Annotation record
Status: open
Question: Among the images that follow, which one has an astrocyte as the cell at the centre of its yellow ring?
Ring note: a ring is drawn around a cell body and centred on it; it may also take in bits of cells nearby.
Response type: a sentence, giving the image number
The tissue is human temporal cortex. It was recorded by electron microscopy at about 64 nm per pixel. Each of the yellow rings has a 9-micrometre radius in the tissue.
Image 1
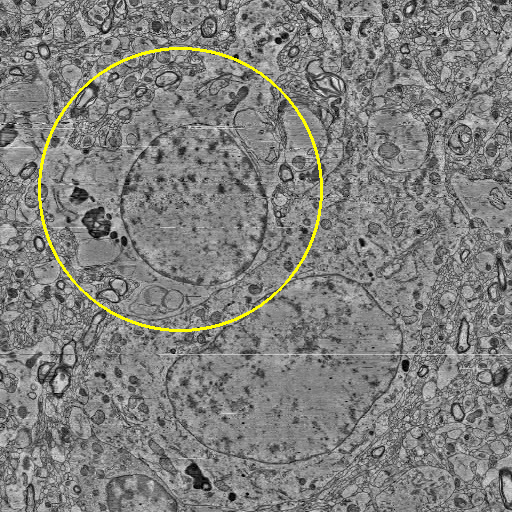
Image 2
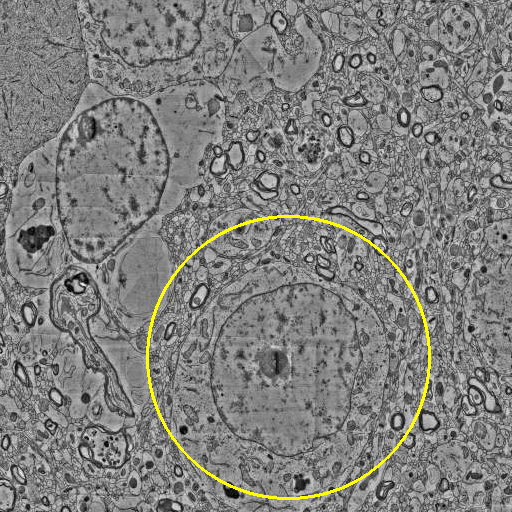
Image 1 shows it at the centre of its ring.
